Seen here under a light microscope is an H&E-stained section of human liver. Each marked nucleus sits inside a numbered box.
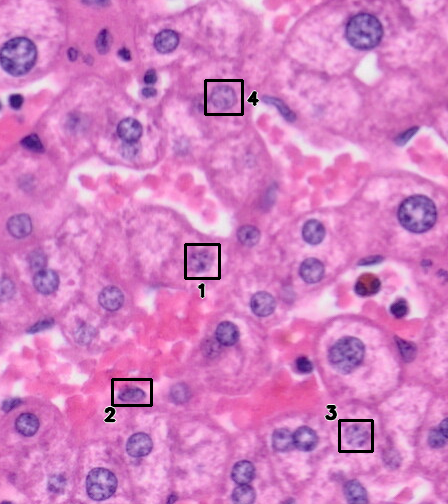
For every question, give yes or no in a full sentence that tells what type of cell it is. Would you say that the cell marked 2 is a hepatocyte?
No, number 2 does not mark a hepatocyte; it marks an endothelial cell.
